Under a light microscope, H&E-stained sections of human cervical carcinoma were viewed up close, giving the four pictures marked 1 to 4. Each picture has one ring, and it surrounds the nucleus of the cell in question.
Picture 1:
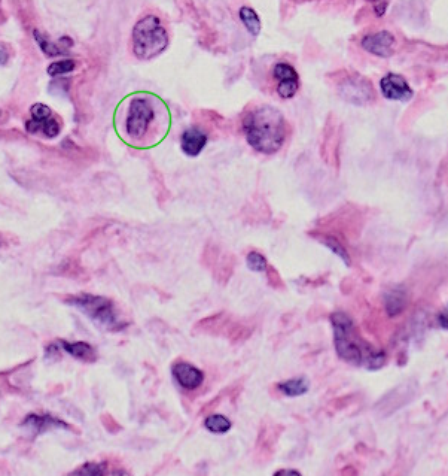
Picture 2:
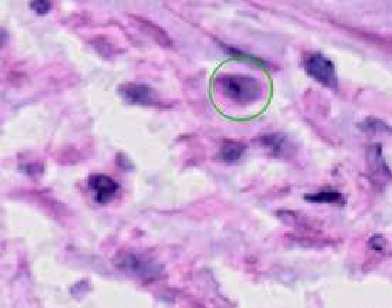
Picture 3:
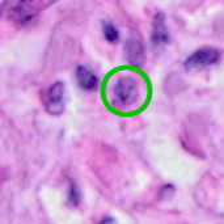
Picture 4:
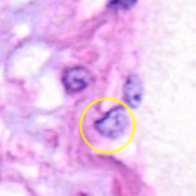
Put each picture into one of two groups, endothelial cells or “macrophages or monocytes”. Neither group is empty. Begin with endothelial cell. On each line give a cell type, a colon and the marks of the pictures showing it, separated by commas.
endothelial cell: 4
macrophage or monocyte: 1, 2, 3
